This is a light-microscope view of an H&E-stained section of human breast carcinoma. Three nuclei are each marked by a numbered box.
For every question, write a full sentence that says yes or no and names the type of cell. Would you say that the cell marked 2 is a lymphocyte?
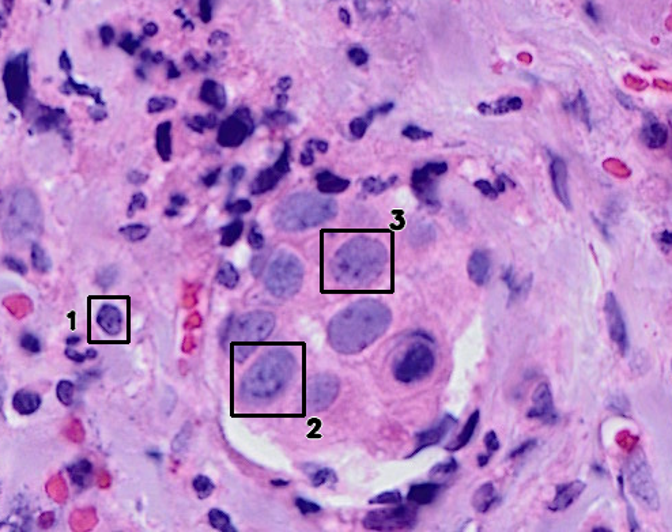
No, cell 2 is not a lymphocyte; it is a carcinoma cell.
